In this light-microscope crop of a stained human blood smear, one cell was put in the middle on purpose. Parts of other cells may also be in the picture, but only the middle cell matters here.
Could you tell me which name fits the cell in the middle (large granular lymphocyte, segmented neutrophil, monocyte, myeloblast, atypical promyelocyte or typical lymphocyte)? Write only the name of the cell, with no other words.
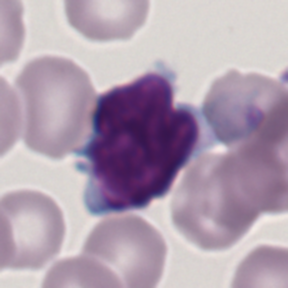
typical lymphocyte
